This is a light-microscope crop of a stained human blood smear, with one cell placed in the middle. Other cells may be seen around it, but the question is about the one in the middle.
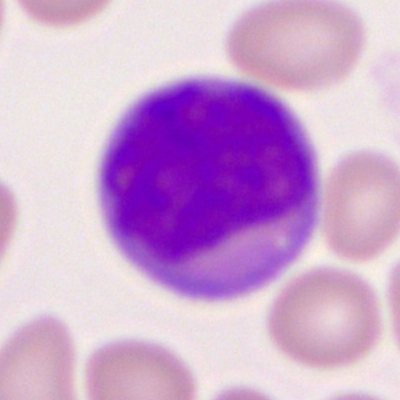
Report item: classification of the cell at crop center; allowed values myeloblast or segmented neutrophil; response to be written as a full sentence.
Here the cell in the middle is a myeloblast.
